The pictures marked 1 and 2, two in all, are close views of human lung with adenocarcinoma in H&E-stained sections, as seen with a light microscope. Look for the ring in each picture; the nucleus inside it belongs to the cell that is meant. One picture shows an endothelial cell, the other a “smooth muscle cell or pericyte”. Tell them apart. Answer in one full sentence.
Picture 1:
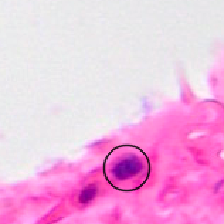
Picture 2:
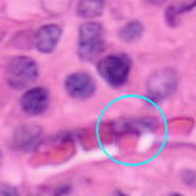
Picture 2 shows an endothelial cell, while picture 1 shows a “smooth muscle cell or pericyte”.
